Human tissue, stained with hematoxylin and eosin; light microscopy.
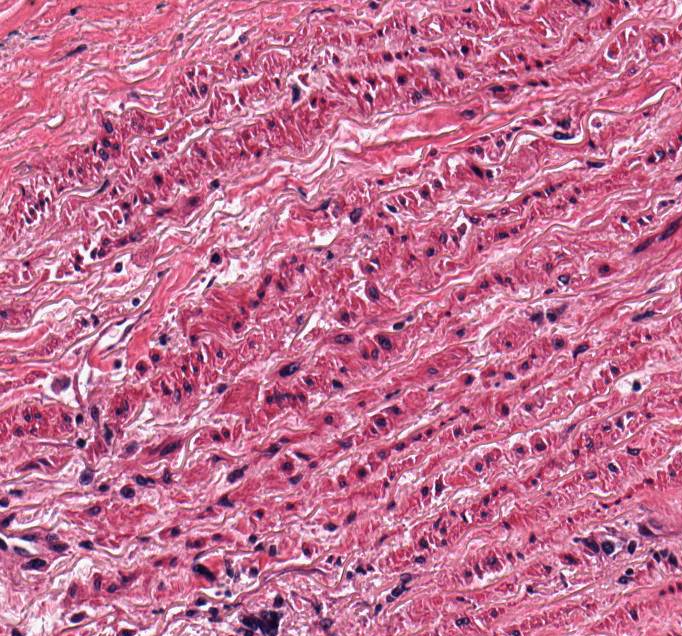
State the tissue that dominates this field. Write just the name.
tunica media of an artery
